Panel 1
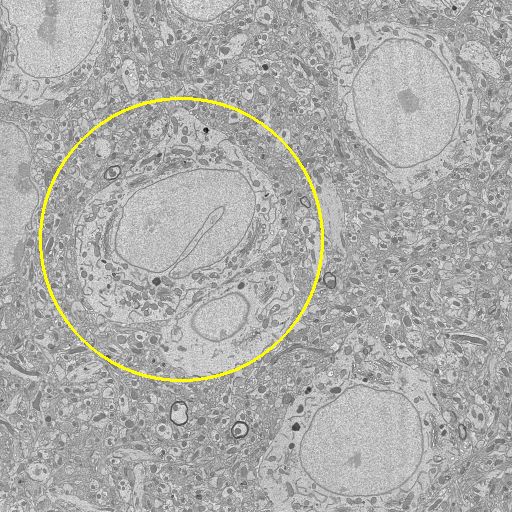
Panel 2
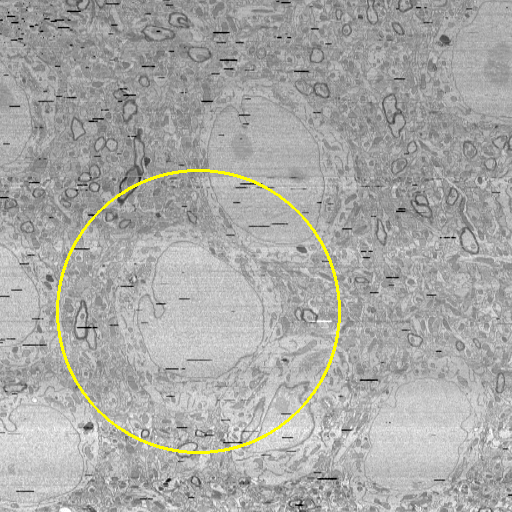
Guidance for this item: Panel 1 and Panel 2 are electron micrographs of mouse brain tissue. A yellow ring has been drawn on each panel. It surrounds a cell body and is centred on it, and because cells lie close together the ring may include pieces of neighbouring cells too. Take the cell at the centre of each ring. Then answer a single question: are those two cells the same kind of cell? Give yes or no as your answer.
no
